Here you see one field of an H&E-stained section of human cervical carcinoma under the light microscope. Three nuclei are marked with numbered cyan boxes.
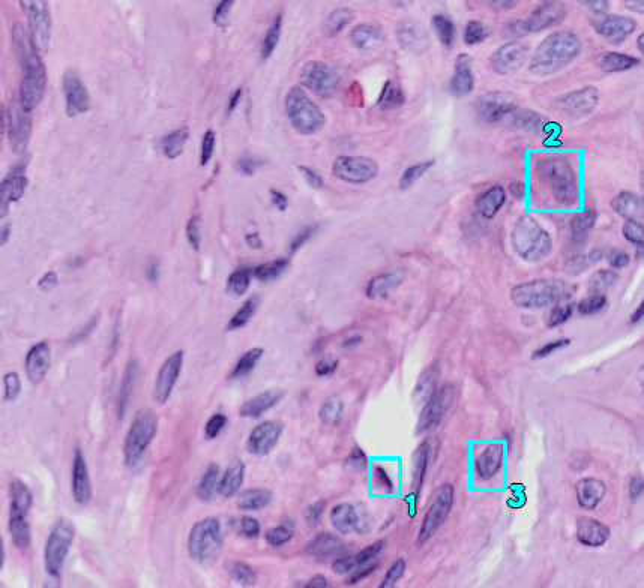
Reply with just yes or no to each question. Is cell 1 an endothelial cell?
yes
